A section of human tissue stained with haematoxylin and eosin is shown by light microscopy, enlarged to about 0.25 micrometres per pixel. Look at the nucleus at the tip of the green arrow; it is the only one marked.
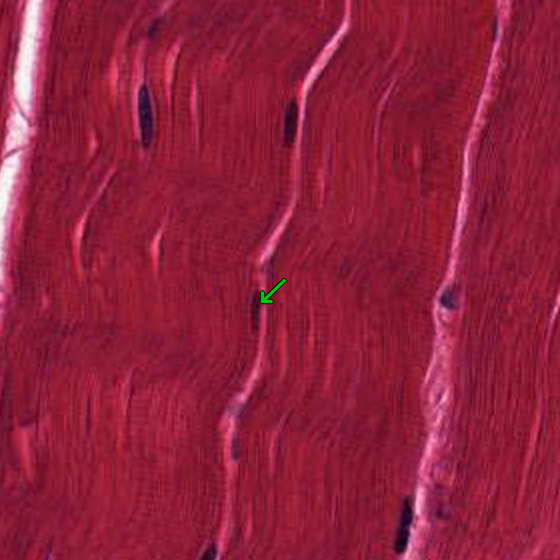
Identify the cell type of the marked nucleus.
skeletal muscle fibre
